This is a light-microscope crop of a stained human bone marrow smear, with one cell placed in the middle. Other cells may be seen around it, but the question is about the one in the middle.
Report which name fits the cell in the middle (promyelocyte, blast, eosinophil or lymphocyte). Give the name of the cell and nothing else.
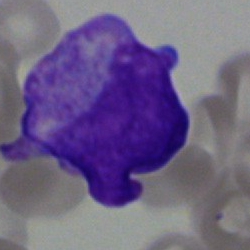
blast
